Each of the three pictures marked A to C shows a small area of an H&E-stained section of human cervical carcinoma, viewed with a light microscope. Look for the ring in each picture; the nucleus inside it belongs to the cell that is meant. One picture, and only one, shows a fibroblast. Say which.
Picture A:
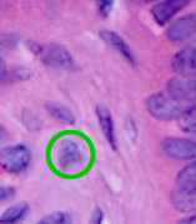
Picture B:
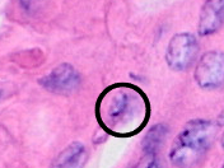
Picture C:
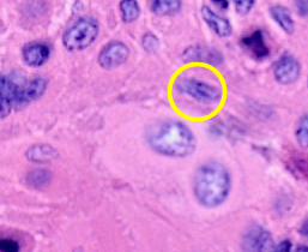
A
